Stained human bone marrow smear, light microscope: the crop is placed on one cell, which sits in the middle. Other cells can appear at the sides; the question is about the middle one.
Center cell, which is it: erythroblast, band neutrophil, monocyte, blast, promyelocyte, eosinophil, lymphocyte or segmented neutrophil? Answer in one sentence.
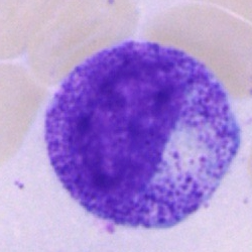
For this crop, the central cell is a promyelocyte.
